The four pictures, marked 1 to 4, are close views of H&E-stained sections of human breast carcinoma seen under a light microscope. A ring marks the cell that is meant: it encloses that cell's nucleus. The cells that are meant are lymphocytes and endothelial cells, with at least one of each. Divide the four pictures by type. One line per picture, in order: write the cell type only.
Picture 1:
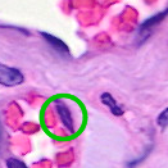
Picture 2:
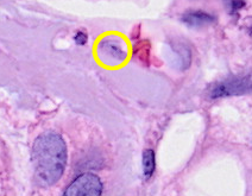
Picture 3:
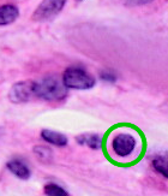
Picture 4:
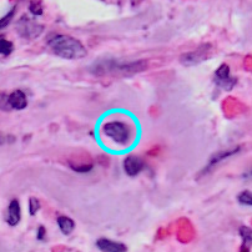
endothelial cell
endothelial cell
lymphocyte
lymphocyte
